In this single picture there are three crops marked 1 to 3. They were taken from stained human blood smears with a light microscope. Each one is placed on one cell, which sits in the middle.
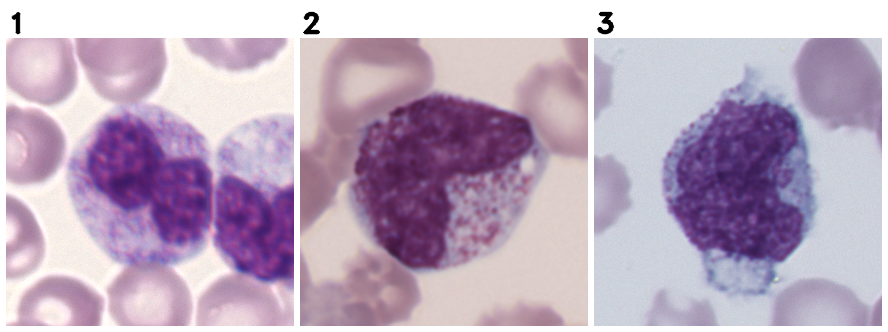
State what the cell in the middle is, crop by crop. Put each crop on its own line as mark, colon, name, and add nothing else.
1: band neutrophil
2: band neutrophil
3: monocyte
